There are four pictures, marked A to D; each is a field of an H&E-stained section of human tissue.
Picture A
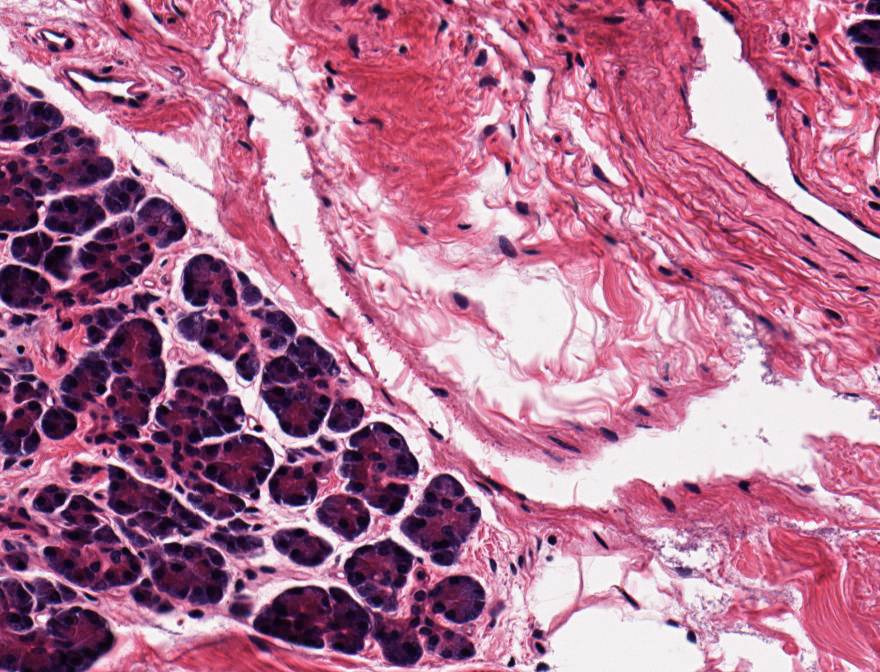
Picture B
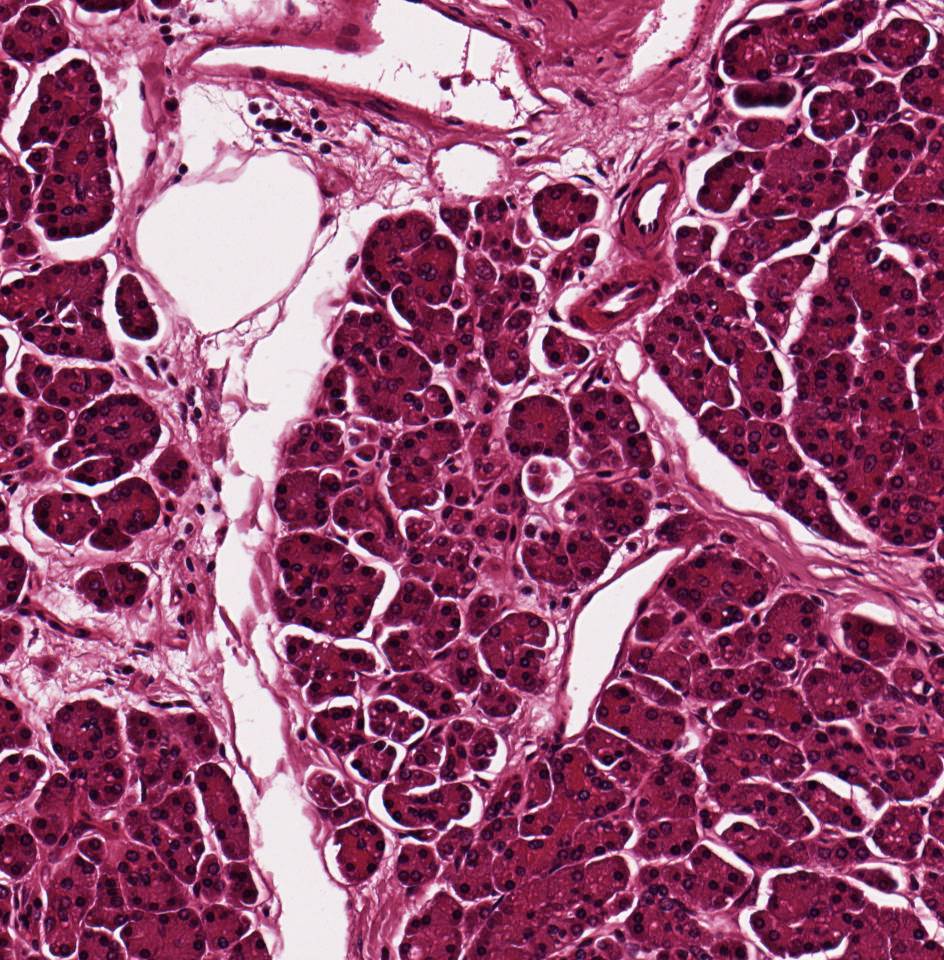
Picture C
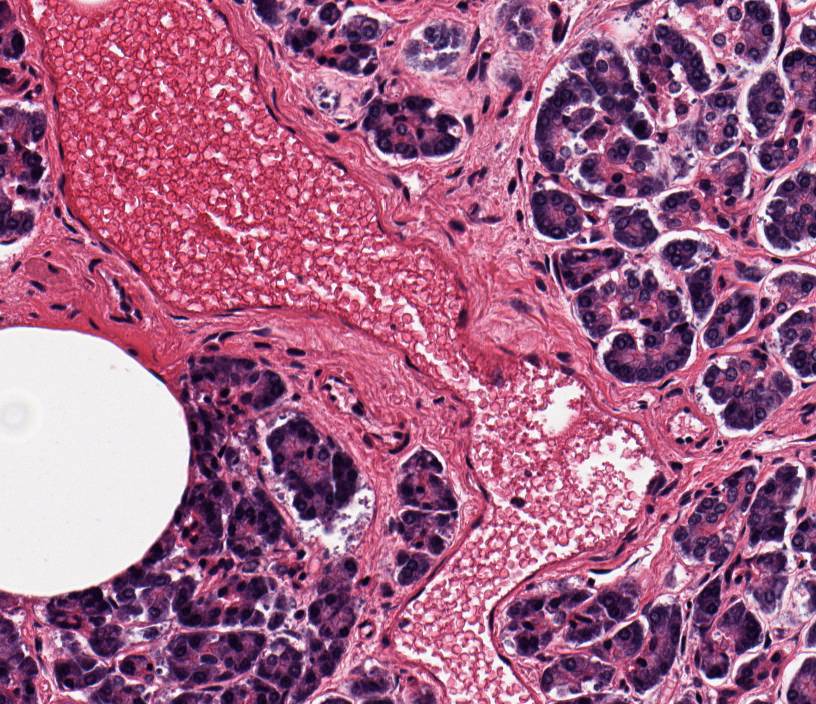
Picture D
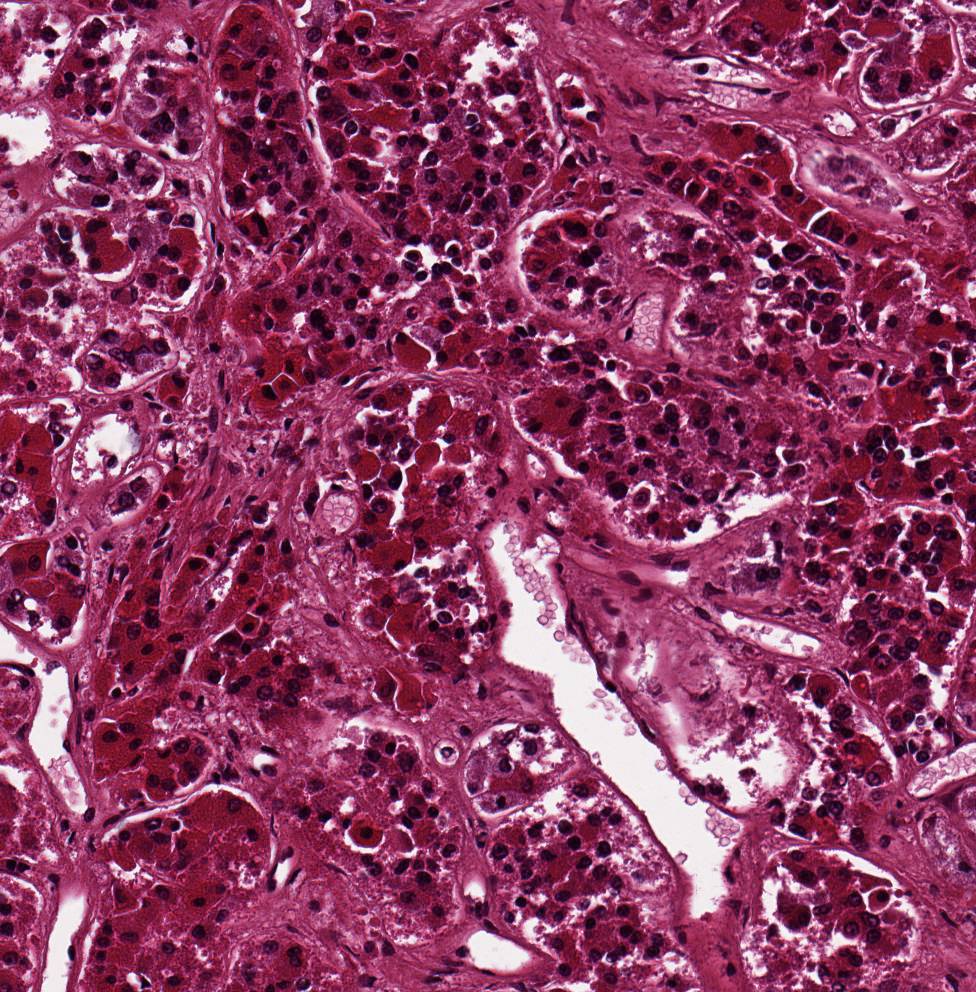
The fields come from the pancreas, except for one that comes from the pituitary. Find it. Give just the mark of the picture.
D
